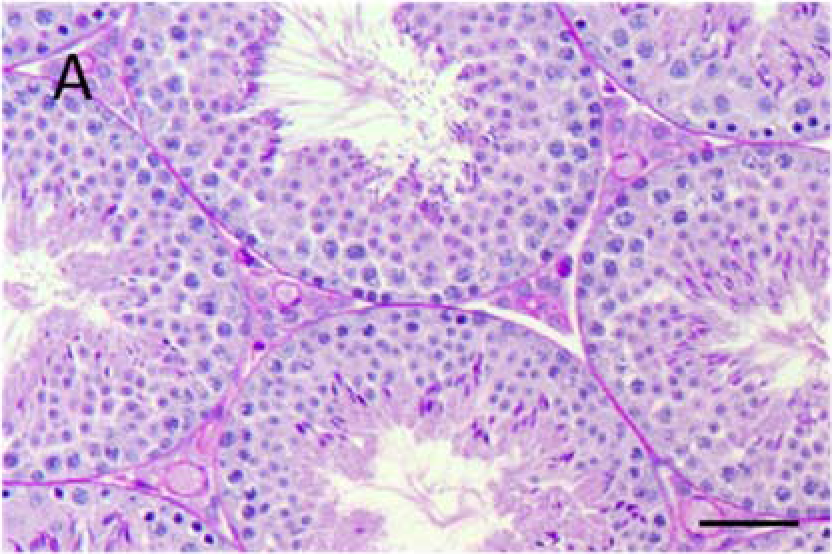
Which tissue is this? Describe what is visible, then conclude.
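Round tubules cut in cross-section, each lined by a thick multilayered epithelium of many round nuclei. Pale fibrous material fills the centres of the tubules. Small interstitial spaces with vessels lie between the tubules. On this evidence: testis.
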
